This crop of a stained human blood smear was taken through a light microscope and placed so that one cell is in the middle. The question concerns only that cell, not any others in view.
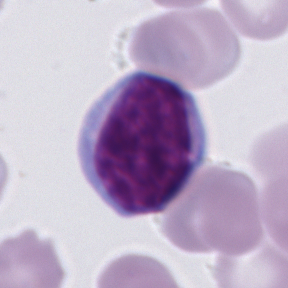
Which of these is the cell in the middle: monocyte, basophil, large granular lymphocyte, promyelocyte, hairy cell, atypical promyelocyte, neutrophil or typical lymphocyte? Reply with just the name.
typical lymphocyte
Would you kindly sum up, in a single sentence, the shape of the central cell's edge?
Expected answer: a smooth cell outline without projections of any sort.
